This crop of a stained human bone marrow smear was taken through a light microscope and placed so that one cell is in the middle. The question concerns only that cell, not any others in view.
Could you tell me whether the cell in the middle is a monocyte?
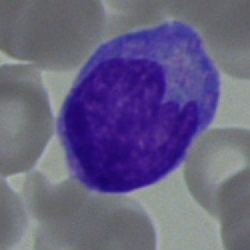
yes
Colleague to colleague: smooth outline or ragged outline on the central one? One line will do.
Nothing juts out from the margin, which is smooth throughout.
